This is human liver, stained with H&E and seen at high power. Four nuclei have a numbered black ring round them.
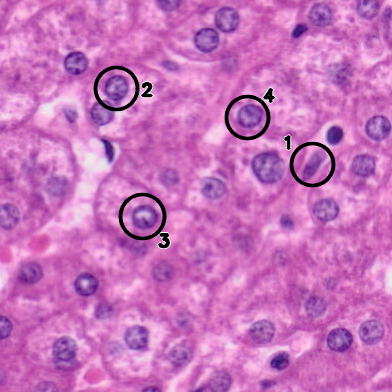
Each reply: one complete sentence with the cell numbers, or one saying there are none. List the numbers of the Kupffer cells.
Among all the marked cells, a Kupffer cell is found only at number 1.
